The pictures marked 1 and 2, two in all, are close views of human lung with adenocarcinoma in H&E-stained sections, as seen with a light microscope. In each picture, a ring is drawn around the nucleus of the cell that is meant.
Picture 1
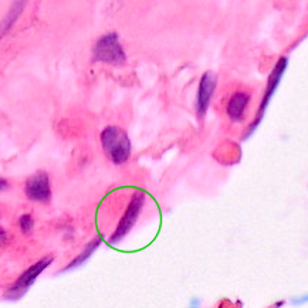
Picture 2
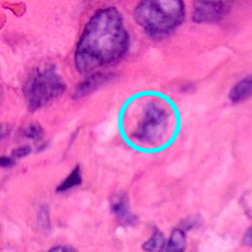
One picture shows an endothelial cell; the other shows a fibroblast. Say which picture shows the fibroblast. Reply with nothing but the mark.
2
